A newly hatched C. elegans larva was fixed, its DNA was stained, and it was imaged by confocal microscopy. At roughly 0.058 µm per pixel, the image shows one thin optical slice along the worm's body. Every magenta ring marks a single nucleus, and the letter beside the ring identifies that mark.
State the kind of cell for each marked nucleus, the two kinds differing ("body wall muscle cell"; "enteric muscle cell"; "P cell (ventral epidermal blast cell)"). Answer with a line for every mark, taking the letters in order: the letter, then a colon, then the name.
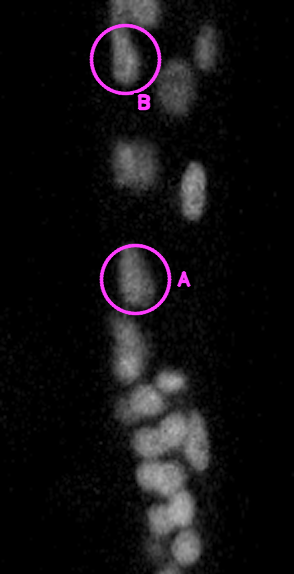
A: enteric muscle cell
B: P cell (ventral epidermal blast cell)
